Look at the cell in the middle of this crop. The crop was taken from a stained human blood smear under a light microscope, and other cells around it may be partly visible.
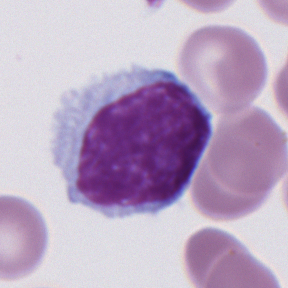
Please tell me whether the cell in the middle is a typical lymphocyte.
yes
